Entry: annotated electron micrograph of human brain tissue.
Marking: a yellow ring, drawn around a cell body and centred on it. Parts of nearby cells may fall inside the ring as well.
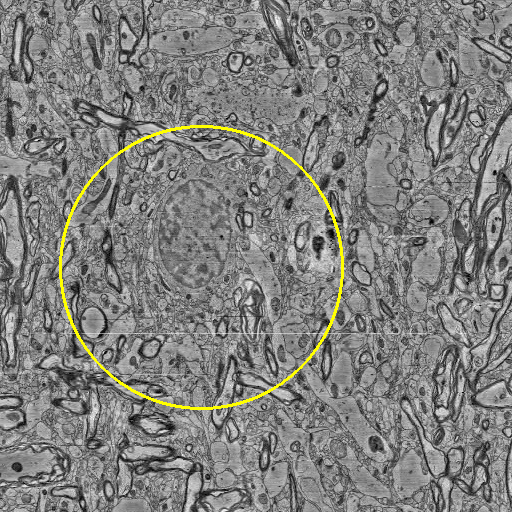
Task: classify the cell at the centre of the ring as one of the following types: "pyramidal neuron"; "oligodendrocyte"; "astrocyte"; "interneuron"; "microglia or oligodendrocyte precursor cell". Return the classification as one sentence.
The marked cell is classified as an oligodendrocyte.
